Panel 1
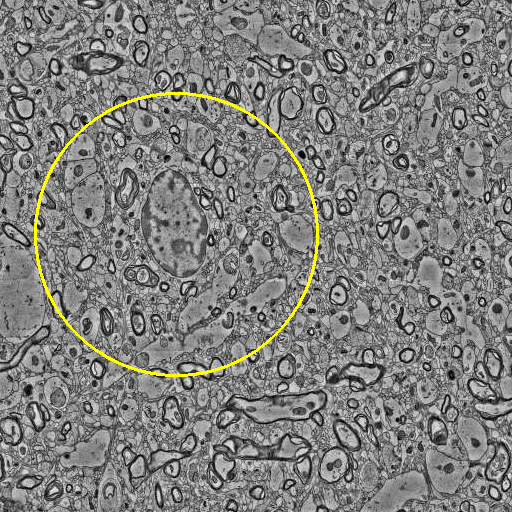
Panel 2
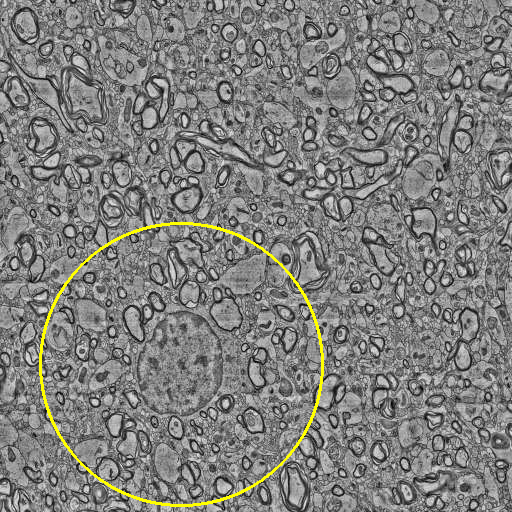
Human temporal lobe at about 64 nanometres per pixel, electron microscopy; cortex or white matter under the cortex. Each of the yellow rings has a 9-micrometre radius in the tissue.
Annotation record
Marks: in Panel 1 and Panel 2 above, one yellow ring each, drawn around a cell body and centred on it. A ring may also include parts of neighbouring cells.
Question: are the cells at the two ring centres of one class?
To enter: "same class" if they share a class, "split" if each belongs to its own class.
split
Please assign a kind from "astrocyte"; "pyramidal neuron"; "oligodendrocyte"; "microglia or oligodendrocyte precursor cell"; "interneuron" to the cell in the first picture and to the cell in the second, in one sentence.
In the first picture we have a microglial cell or oligodendrocyte precursor cell, and in the second, an oligodendrocyte.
